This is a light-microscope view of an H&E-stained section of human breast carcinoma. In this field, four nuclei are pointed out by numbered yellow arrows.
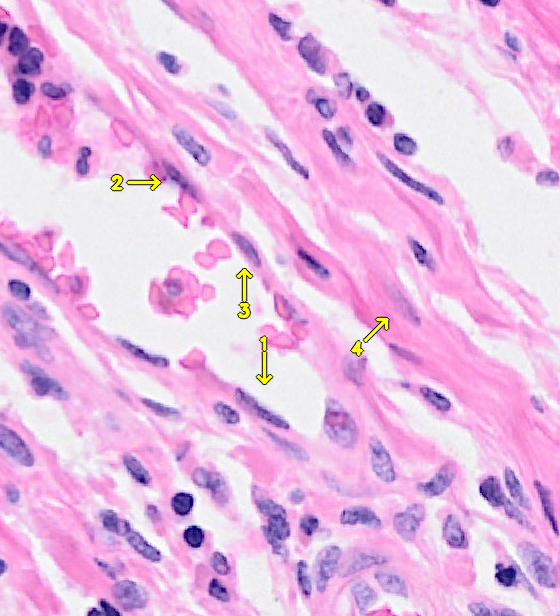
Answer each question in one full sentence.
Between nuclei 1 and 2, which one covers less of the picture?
It is nucleus 2; nucleus 1 has about 1.5 times its area.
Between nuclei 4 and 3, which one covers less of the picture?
It is nucleus 3; nucleus 4 has about 1.5 times its area.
